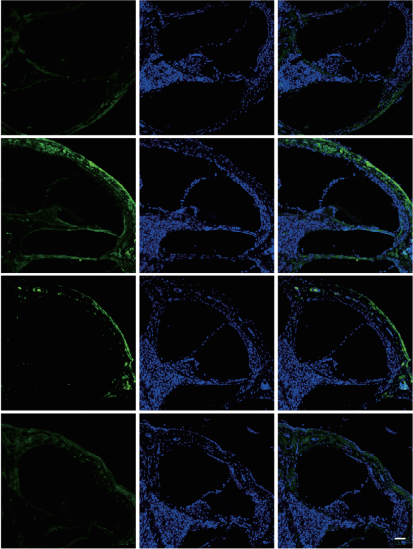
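Cross-sections of the cochlea show large fluid-filled chambers separated by thin membranes within a curved outer wall. Blue nuclei are densely packed in the central core and line the walls. Green staining lies mainly along the outer wall and its lining, brightest in the second row and faint in the first and last rows.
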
